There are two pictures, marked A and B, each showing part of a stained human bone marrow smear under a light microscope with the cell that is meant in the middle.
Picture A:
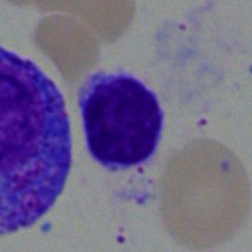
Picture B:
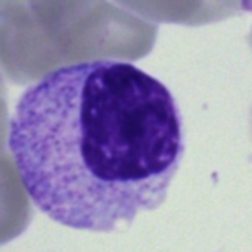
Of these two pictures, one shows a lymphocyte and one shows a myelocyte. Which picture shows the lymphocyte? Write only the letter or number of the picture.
A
